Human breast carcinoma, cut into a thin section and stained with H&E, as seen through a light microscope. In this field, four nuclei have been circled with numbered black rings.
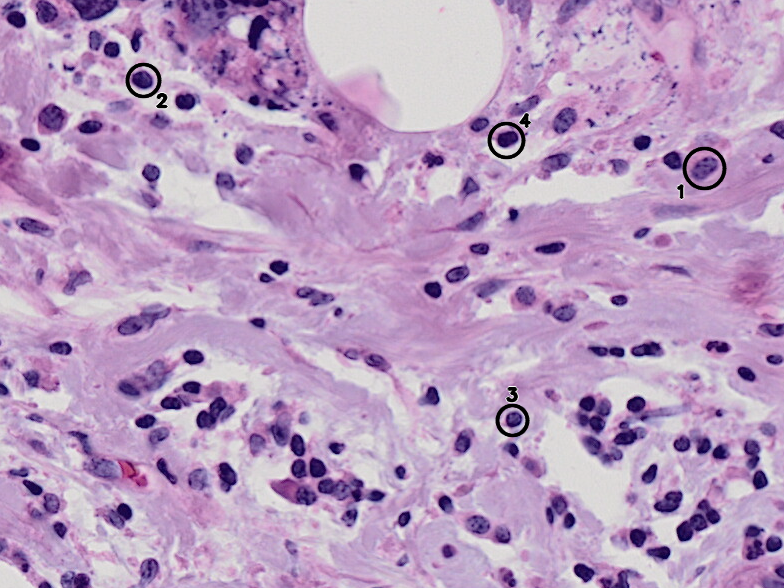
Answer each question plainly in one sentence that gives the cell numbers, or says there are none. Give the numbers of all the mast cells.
Only the cell numbered 1 qualifies as a mast cell among the marked cells.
